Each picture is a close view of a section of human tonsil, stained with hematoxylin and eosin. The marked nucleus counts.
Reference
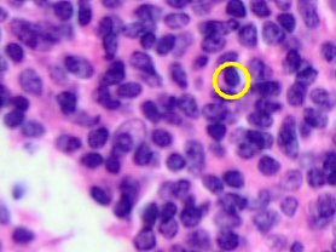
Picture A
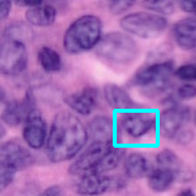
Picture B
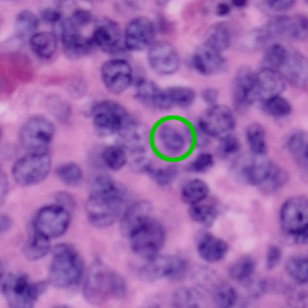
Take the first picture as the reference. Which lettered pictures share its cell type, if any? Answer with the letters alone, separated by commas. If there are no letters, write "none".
none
